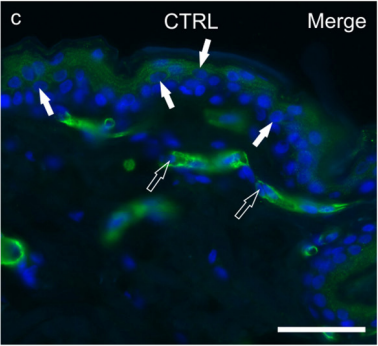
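This section of skin shows the epidermis with its keratinocytes along the upper edge and vascular endothelial cells in the dermis beneath. The keratinocytes form a wavy layer of closely packed oval blue nuclei with a faint to moderate green haze around them. Beneath, elongated vessel profiles run obliquely through the dermis, outlined by bright green walls along which flat, elongated endothelial nuclei lie. The deeper dermis holds sparse scattered nuclei, and a bright green ring of another vessel sits at the lower left edge.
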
